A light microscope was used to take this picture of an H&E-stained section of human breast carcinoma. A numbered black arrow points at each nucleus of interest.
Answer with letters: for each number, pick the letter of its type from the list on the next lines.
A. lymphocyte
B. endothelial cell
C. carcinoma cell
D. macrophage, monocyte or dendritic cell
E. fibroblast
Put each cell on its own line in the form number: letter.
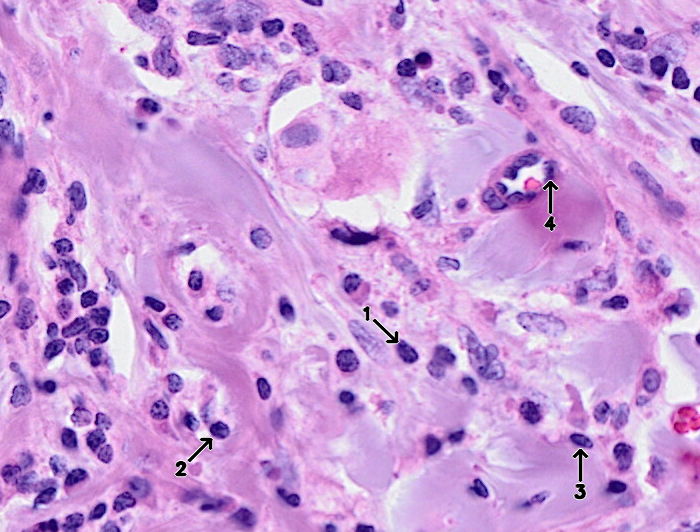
1: A
2: A
3: A
4: B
